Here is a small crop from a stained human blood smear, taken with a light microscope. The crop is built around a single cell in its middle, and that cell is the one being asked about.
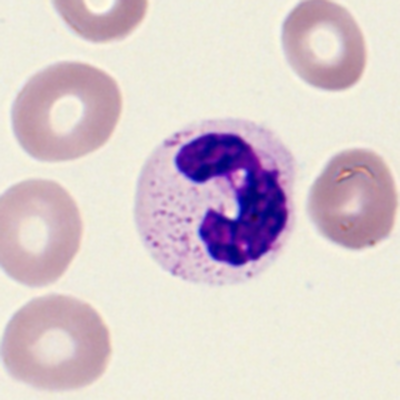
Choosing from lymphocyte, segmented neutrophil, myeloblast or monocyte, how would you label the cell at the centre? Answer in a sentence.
The central cell shown in this smear crop is a segmented neutrophil.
